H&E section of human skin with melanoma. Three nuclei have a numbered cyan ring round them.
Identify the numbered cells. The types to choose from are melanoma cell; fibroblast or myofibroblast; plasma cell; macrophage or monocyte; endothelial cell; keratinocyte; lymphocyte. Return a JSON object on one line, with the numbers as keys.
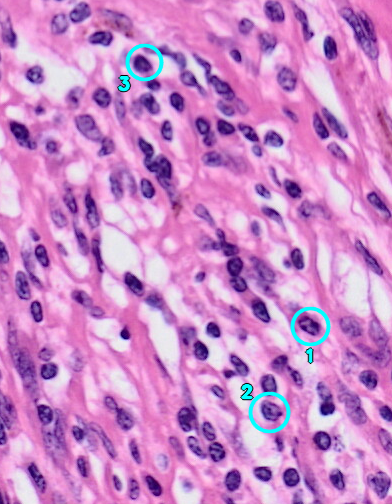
{"1": "plasma cell", "2": "lymphocyte", "3": "plasma cell"}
